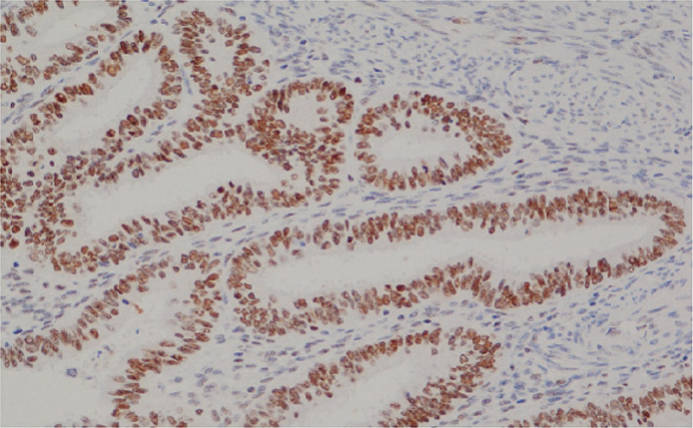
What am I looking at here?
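This is an adenocarcinoma of the endometrium, made of crowded glands lined by tall columnar tumour cells. Their enlarged, elongated nuclei are stacked in several rows and are almost all stained deep brown. The spindle-cell stroma between the glands has pale blue nuclei.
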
